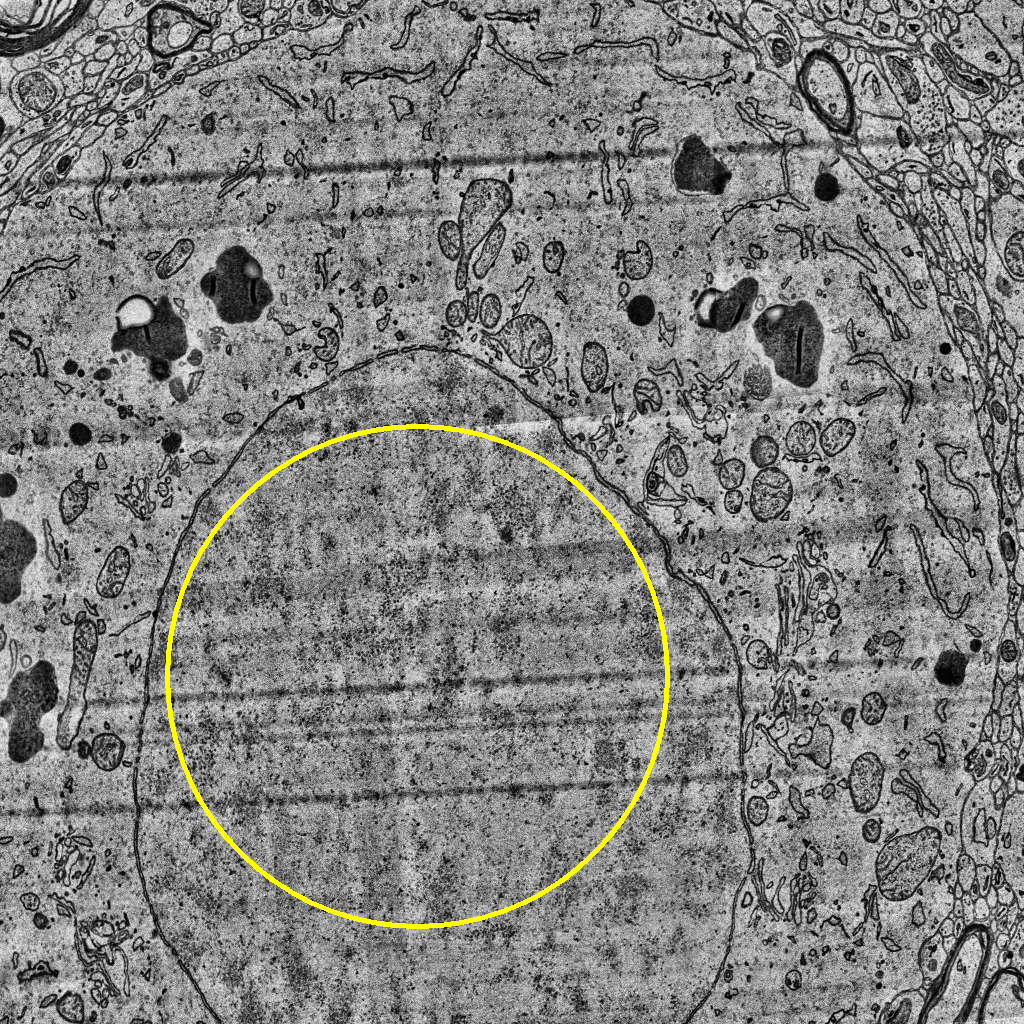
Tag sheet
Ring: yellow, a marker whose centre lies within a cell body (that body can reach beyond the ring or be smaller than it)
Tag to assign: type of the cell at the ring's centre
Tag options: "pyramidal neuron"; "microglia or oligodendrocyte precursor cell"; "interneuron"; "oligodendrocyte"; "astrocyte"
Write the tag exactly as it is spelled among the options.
pyramidal neuron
